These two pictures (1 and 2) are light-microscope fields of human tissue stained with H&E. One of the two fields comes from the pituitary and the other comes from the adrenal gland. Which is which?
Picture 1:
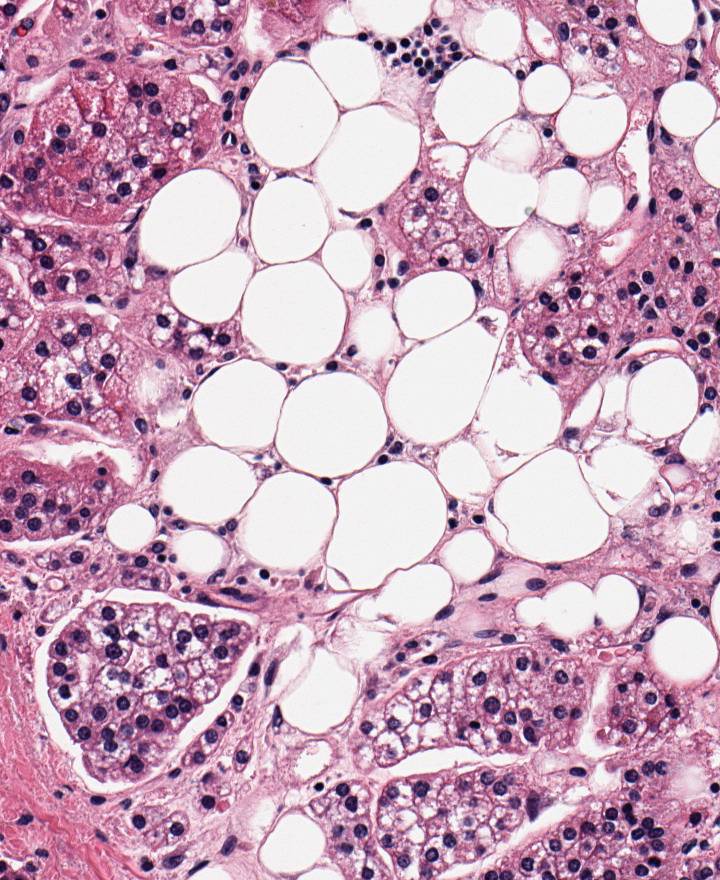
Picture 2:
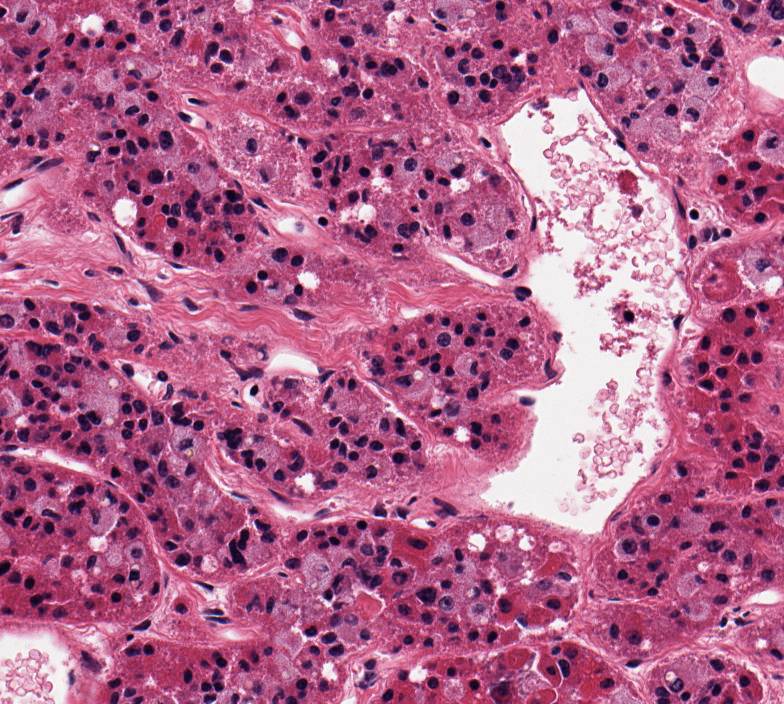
1: adrenal gland
2: pituitary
